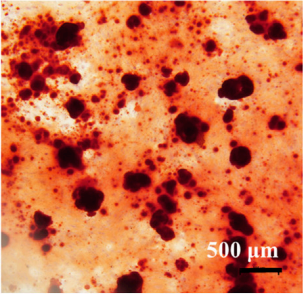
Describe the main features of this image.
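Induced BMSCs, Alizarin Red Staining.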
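An orange-red stained layer covers the field, with many discrete, rounded, dark red to almost black deposits of various sizes scattered across it, some large and clustered, others small and dot-like. Pale, weakly stained areas lie between the deposits. No single cells can be made out at this scale.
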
